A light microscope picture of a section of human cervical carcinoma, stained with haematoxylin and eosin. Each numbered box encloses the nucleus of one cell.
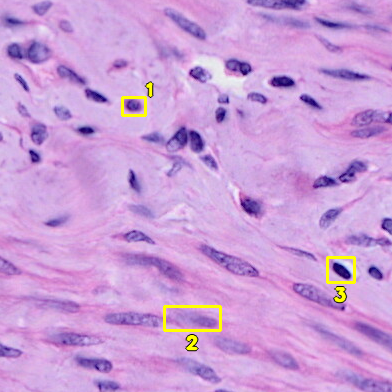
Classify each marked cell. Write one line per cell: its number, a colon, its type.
1: smooth muscle cell
2: smooth muscle cell
3: lymphocyte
